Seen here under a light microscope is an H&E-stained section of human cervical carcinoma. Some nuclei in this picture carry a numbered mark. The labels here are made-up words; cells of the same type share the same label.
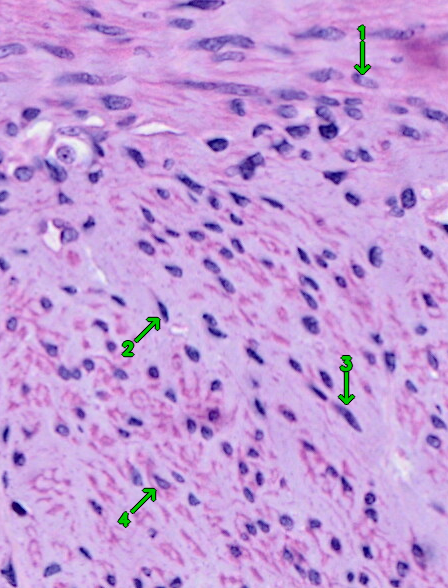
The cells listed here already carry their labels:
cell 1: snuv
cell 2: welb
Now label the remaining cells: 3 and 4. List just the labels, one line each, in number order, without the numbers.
welb
snuv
